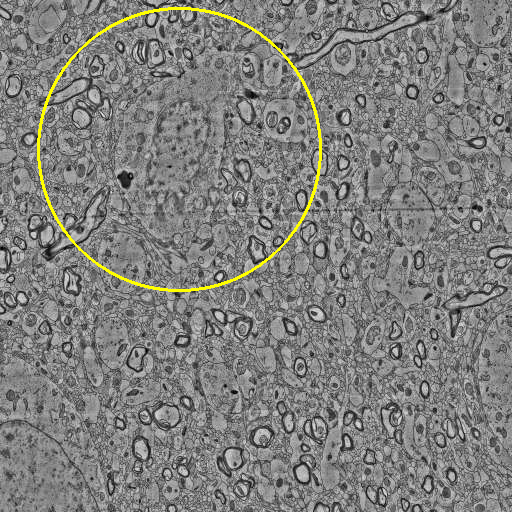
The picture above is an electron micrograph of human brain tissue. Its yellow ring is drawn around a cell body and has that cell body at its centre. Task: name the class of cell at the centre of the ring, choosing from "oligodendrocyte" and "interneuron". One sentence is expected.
The ring surrounds the body of an interneuron.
